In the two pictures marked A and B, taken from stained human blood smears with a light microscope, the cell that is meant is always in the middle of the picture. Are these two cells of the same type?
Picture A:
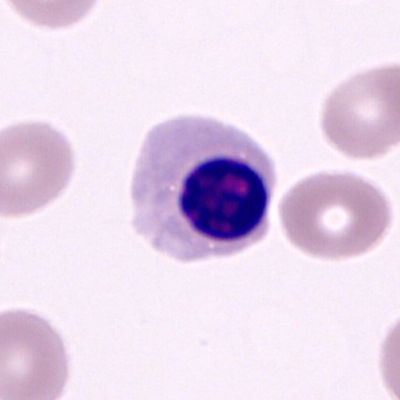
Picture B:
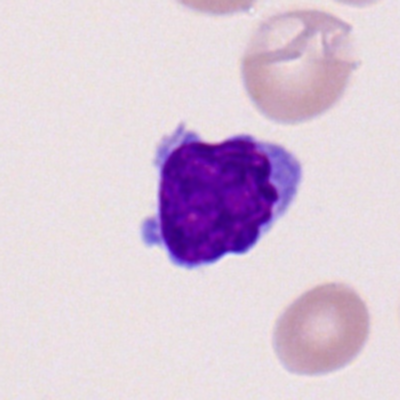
no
